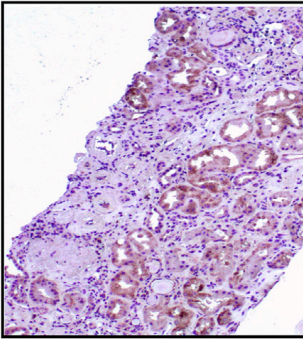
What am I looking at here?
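This is a core of kidney tissue dominated by cross-sectioned tubules whose lining cells have strongly brown-stained cytoplasm around open lumens. Between the tubules the interstitium holds many scattered purple nuclei. Other tubules and structures in the section stain only weakly, so the brown is concentrated in the tubular epithelium.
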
